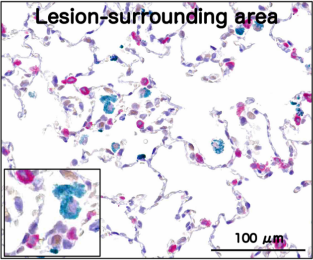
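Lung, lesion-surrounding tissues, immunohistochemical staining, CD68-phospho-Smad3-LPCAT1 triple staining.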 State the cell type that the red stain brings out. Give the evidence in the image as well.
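Scattered rounded red-stained cells sit within thin alveolar walls, often at corners. Thin wall cells between them are unstained.
Alveolar epithelial type 2 cells.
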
